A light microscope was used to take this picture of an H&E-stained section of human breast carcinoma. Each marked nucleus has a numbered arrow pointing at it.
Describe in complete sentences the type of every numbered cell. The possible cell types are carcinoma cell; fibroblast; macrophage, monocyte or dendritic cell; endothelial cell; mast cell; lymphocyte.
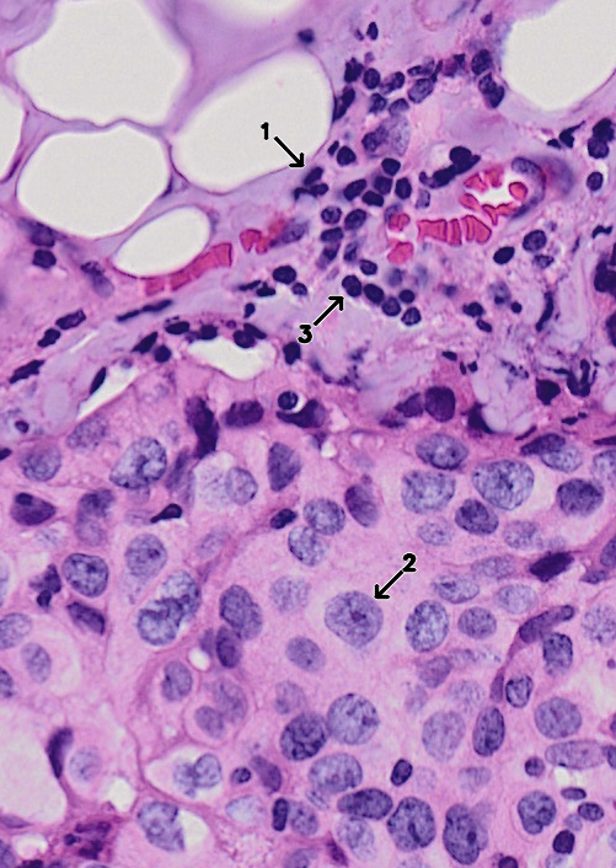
Cell 1 is a lymphocyte, cell 2 is a carcinoma cell and cell 3 is a lymphocyte.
